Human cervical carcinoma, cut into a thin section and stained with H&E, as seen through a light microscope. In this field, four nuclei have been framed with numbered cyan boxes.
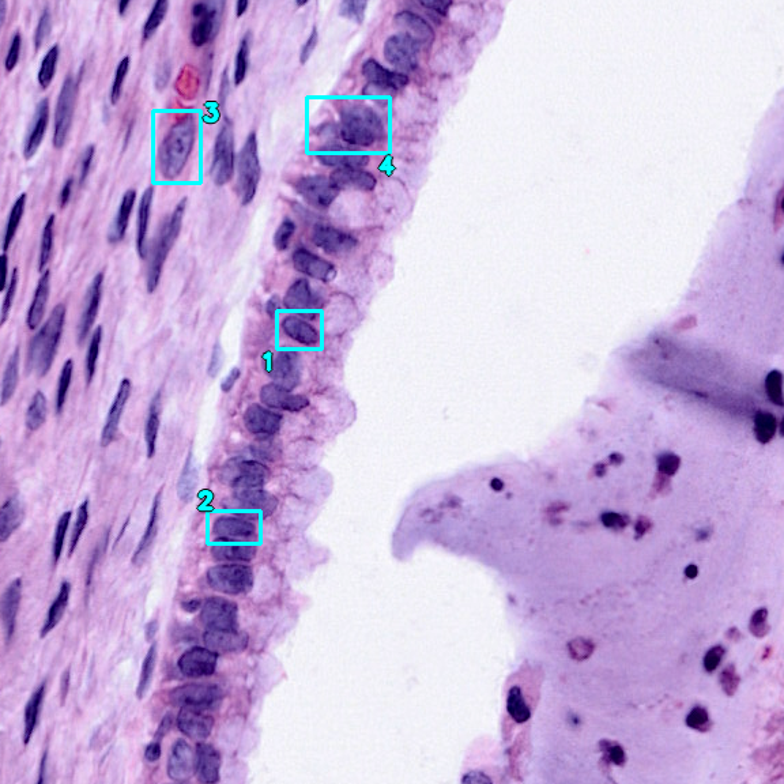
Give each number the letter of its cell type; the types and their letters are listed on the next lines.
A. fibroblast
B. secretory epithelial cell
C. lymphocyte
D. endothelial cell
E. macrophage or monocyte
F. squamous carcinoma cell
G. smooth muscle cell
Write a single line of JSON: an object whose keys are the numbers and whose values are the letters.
{"1": "B", "2": "B", "3": "D", "4": "B"}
